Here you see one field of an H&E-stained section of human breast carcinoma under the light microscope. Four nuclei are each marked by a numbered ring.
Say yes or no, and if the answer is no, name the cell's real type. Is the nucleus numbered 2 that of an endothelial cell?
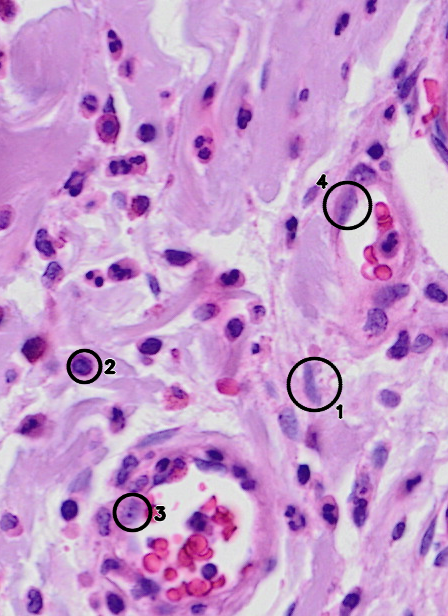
No, it is a mast cell.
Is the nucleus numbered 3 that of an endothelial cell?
Yes.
